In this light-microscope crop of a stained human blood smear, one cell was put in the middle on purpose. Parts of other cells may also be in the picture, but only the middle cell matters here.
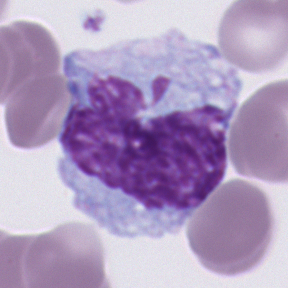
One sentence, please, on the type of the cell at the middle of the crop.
Where the crop is centred, there is a monocyte.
